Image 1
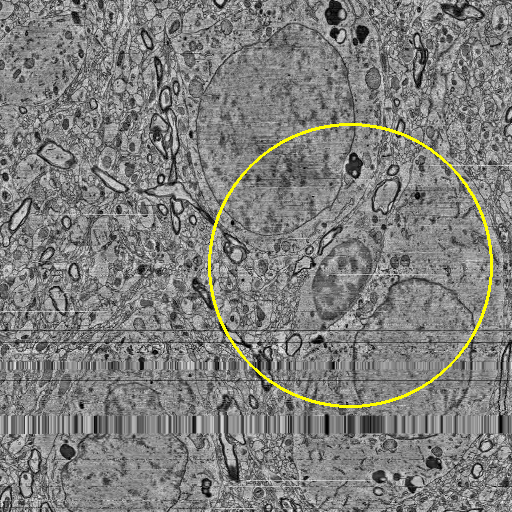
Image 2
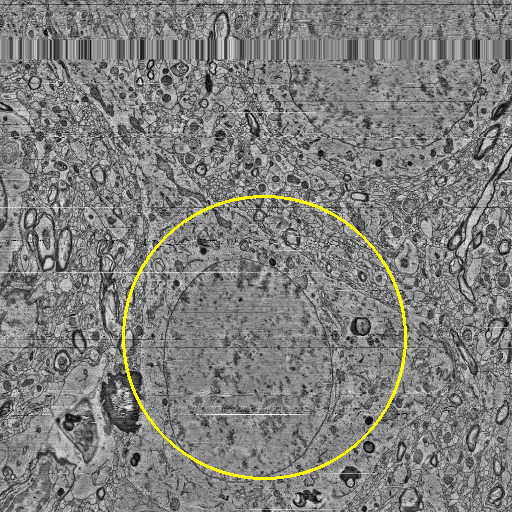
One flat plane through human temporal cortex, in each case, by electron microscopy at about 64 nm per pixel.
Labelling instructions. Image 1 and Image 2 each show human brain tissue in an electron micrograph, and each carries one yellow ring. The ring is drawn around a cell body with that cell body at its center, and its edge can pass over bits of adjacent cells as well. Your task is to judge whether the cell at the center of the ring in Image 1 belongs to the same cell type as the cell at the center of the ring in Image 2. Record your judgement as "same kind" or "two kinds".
two kinds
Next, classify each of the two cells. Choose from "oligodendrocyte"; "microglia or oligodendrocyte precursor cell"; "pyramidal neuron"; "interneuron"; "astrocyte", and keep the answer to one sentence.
In the first picture it is an oligodendrocyte; in the second it is a pyramidal neuron.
